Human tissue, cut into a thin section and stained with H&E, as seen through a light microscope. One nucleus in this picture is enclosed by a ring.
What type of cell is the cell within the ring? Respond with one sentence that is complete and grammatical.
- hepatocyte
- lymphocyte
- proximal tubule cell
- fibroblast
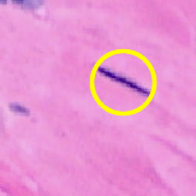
By its classification, the cell within the ring is a fibroblast.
